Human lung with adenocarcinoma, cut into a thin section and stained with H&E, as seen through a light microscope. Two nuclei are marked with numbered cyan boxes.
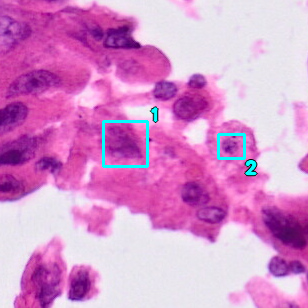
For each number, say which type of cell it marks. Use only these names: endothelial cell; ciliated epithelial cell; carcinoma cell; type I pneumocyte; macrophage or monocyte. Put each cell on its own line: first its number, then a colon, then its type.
1: carcinoma cell
2: macrophage or monocyte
